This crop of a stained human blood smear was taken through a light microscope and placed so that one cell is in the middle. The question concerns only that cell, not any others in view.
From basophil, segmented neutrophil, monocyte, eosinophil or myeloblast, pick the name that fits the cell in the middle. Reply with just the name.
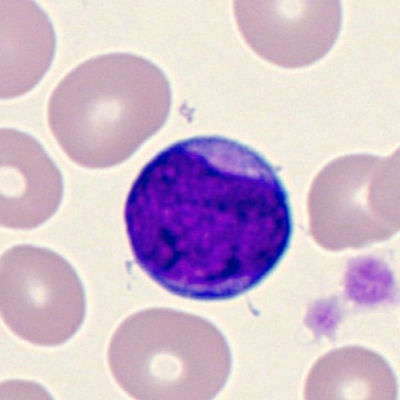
myeloblast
